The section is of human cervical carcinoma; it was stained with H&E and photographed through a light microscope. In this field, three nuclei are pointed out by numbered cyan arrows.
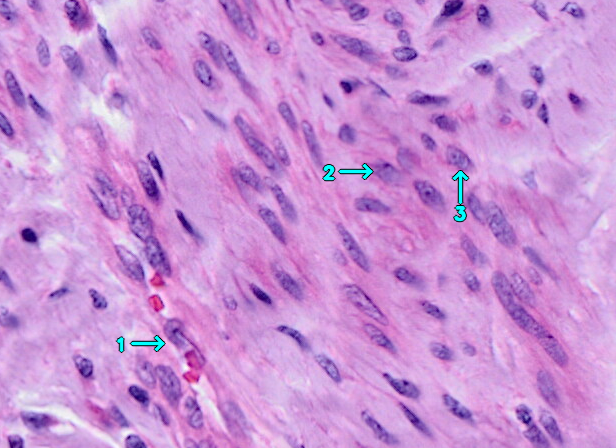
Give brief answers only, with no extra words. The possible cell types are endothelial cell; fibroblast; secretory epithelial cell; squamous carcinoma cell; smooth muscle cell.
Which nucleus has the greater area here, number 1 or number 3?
1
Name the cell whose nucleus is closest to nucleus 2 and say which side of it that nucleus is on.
a smooth muscle cell above and to the right of nucleus 2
